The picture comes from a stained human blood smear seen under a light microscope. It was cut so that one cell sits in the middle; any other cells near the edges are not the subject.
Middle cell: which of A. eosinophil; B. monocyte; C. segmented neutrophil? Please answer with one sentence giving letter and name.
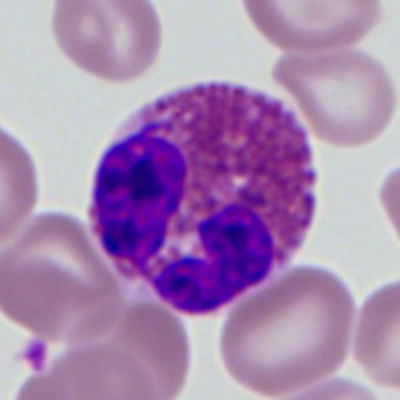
The correct option is A, as the central cell is an eosinophil.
